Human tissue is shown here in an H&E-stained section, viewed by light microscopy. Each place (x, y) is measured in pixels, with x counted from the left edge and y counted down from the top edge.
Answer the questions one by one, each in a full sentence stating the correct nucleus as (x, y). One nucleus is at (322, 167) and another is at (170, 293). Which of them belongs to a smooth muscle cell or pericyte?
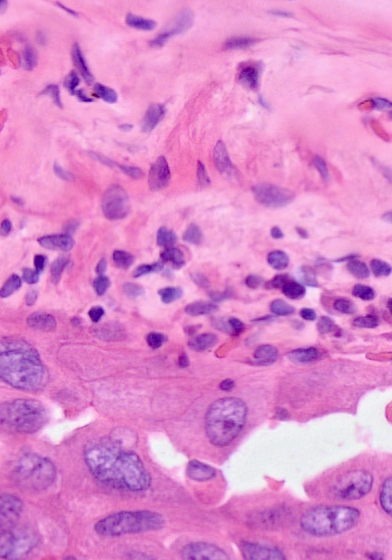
The nucleus positioned at (322, 167) is the one that belongs to a smooth muscle cell or pericyte.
